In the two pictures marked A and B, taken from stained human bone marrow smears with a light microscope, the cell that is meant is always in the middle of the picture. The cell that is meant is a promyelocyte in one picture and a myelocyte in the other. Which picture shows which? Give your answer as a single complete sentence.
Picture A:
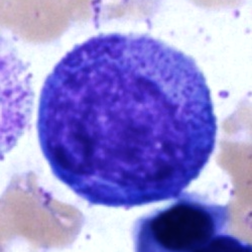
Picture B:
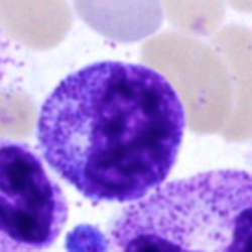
Picture A shows a promyelocyte and picture B shows a myelocyte.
